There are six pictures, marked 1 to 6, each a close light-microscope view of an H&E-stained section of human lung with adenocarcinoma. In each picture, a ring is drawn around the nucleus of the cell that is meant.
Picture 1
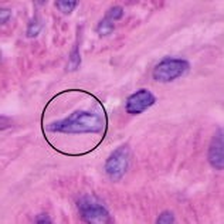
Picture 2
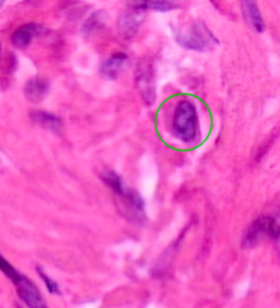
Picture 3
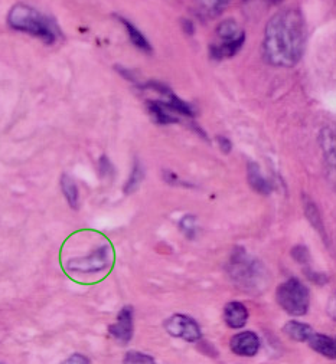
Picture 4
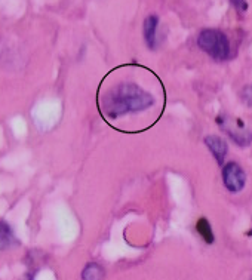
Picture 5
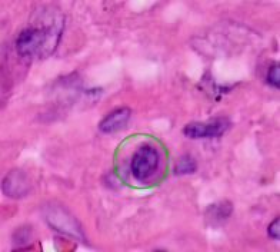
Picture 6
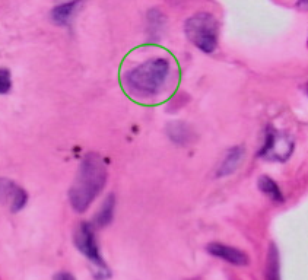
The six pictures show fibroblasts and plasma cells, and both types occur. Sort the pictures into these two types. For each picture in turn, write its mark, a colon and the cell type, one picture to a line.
1: fibroblast
2: plasma cell
3: fibroblast
4: fibroblast
5: plasma cell
6: fibroblast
